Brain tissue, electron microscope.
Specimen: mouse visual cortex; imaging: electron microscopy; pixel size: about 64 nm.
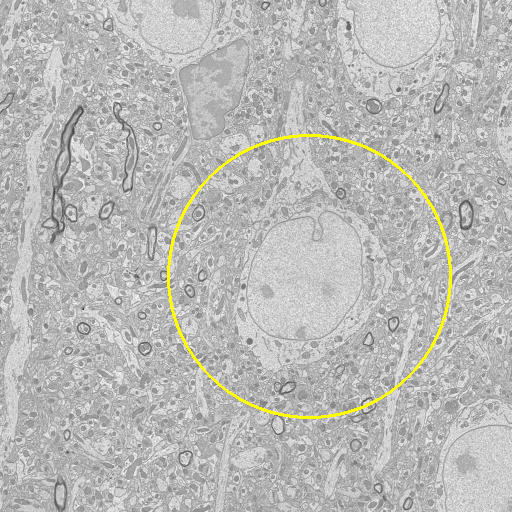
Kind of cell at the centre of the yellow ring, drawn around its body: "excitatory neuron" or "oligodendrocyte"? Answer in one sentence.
The ring's centre falls on an excitatory neuron.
